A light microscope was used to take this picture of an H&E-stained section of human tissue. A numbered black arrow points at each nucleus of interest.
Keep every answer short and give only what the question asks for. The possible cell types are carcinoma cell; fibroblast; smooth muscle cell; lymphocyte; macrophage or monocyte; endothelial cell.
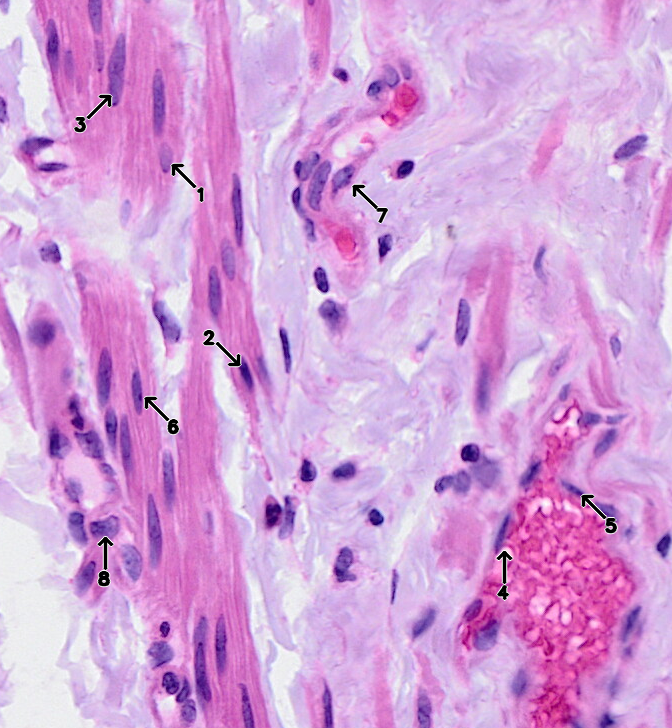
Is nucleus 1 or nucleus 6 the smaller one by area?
1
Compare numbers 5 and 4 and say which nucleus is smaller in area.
5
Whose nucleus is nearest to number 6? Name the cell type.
smooth muscle cell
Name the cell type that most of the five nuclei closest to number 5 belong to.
endothelial cell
